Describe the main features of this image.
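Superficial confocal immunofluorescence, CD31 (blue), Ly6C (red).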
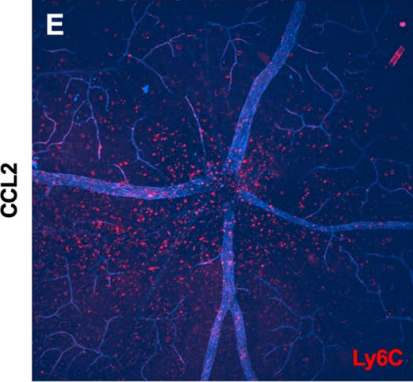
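On the flat retinal surface, blue vessels run out like spokes from the central disc and branch into a fine network toward the edges. Scattered over this surface lie many small, round red cells without processes, crowded most densely around the central disc and across the lower left region, thinning toward the periphery. A few red cells lie along the vessel walls.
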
